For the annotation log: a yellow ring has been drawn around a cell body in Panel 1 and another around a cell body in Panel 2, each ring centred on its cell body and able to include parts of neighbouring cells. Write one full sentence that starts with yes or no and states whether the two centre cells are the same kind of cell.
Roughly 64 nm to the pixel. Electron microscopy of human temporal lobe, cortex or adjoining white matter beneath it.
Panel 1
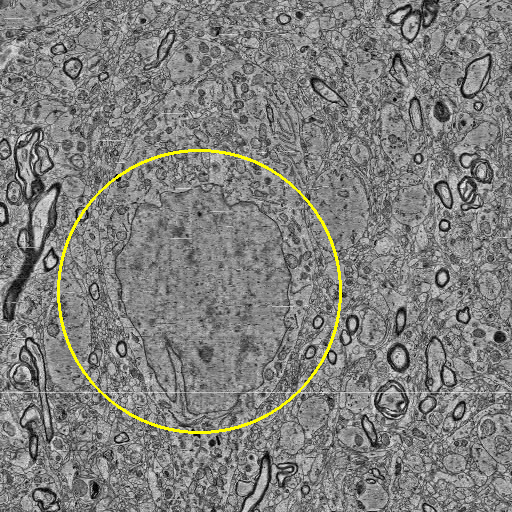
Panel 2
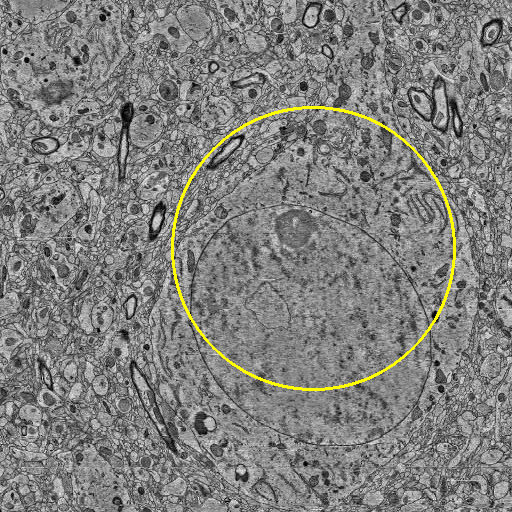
No, the two centre cells are two kinds of cell.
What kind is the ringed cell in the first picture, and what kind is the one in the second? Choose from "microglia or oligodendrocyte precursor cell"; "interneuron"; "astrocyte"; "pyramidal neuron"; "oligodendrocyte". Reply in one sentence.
The first cell is an interneuron; the second is a pyramidal neuron.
